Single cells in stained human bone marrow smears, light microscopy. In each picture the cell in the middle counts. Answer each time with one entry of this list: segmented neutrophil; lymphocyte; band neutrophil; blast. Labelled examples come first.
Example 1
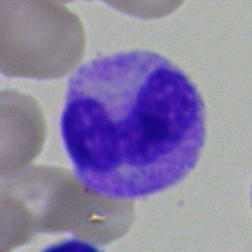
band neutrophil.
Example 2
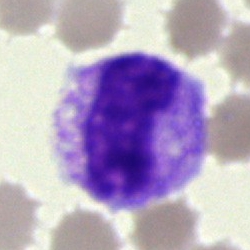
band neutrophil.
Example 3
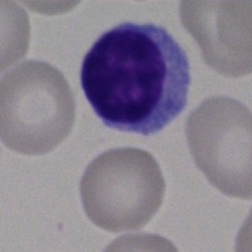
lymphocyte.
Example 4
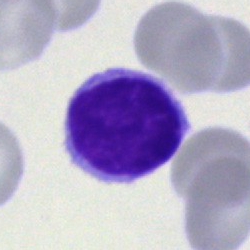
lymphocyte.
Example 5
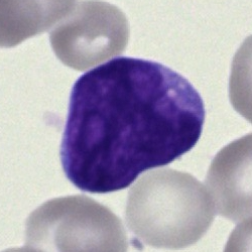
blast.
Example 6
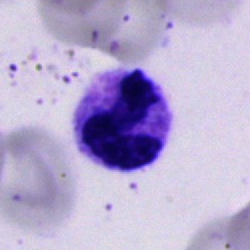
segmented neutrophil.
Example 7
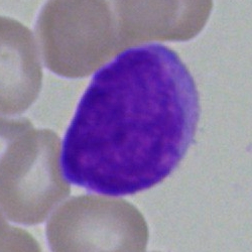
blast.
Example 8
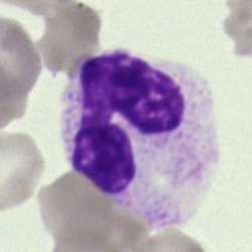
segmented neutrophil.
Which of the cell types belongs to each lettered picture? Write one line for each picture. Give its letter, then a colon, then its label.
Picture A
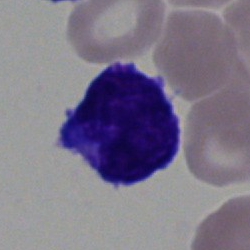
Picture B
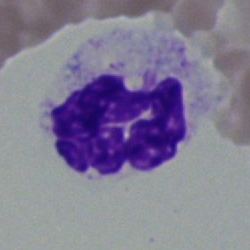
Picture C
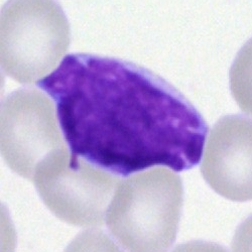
A: blast.
B: segmented neutrophil.
C: blast.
